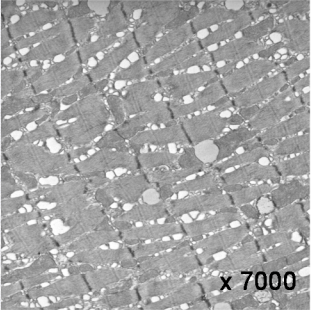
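Lower-magnification transmission electron micrograph of skeletal muscle showing many myofibrils cut lengthwise and running obliquely across the field. Each myofibril is divided into repeating units by regularly spaced dark transverse lines, giving a striated pattern. Between the myofibrils are numerous pale, rounded or irregular empty-looking vacuolar spaces of varying size, some large, scattered along the gaps and often clustered near the transverse lines. The myofibrils themselves keep a regular banding, while the spaces between them are widened by these pale vacuoles.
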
